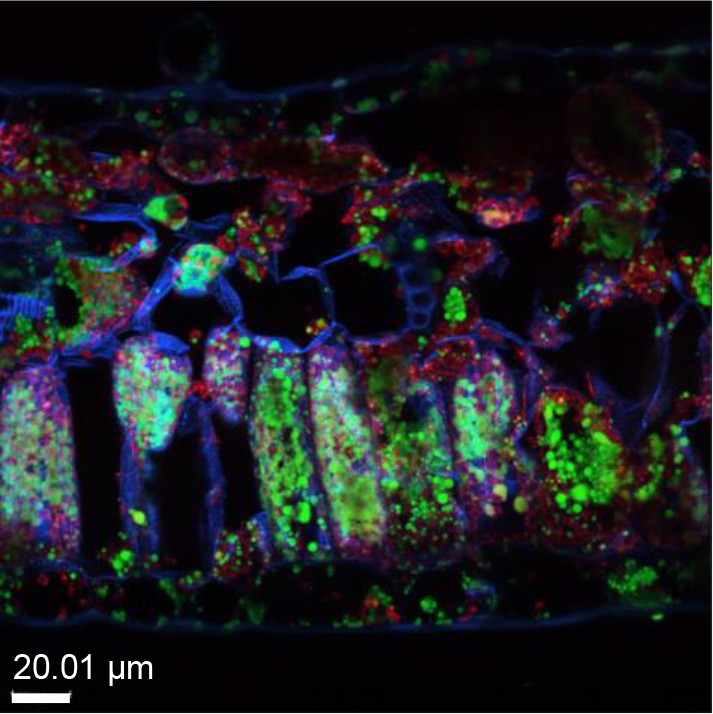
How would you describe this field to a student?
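The elongated column-like cells in the lower half are largely filled with green round droplets of many sizes, some merging into bright green masses. Magenta chloroplasts are still present but interspersed among the droplets. The looser cells of the upper half and the epidermal region also hold scattered green droplets. Blue-outlined cell walls separate the cells, with dark air spaces between them.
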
